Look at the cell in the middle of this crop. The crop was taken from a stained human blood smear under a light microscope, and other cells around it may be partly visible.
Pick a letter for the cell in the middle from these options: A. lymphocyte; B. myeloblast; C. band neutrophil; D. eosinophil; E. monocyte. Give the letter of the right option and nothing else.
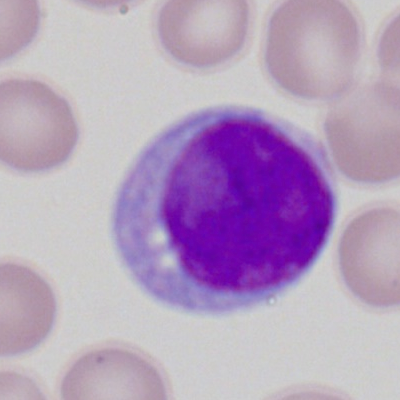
B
